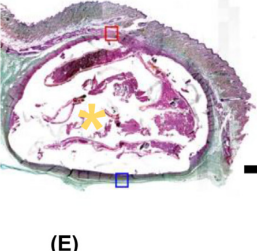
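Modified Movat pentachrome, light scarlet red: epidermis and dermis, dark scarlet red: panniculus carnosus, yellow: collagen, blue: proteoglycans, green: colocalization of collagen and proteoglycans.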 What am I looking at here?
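The central cavity is largely pale and contains loose, folded pink-purple material. Below the capsule only a thin strip of tissue remains at the lower edge of the section. At this scale the architecture of the layers is clear, but single cells cannot be made out.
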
